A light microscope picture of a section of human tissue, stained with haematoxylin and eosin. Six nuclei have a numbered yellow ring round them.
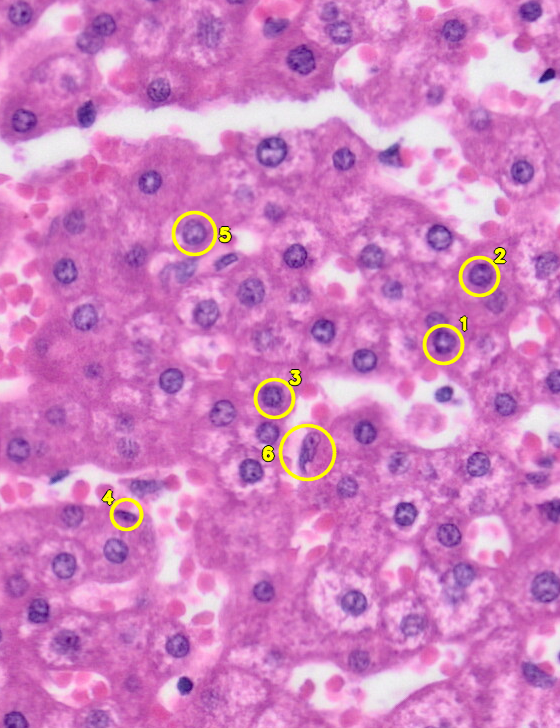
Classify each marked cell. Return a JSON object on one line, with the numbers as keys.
{"1": "hepatocyte", "2": "hepatocyte", "3": "hepatocyte", "4": "fibroblast or stellate cell", "5": "hepatocyte", "6": "Kupffer cell"}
